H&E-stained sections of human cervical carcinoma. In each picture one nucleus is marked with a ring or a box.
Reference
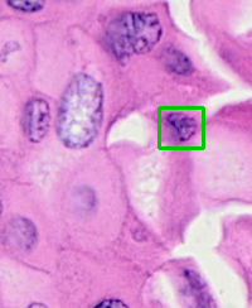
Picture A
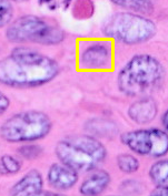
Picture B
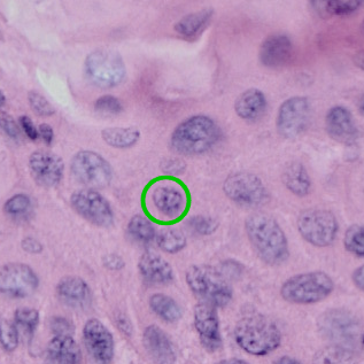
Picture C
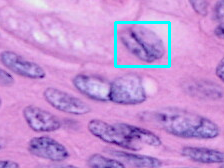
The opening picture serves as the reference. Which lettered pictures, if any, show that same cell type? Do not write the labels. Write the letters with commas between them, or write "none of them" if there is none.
A, B, C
